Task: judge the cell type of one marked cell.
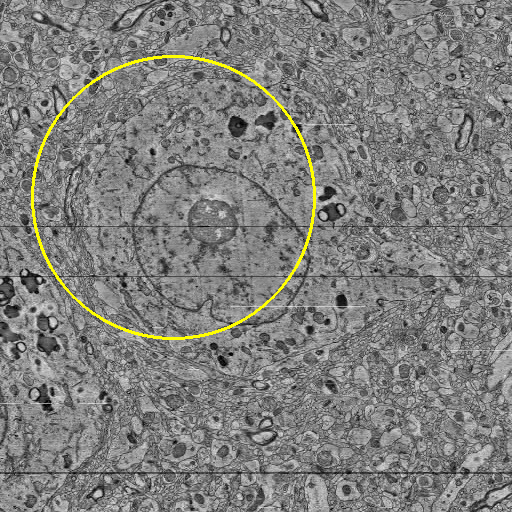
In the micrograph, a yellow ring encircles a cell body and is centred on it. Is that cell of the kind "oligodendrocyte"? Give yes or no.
no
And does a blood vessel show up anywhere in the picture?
No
